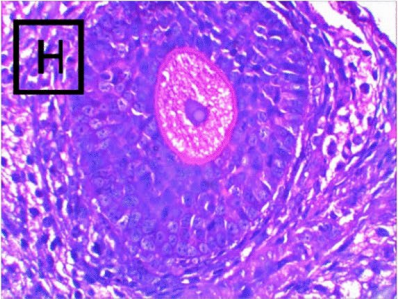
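This is an ovarian follicle seen at high power, with a central oocyte surrounded by granulosa cells and an outer theca. The oocyte is oval and pale with finely granular cytoplasm and a small dark nucleus near its centre, and it is enclosed by a thick, bright pink homogeneous ring. Around it lie several layers of closely packed granulosa cells with round to oval purple nuclei, arranged in a regular, orderly fashion. At the periphery, flattened cells with elongated nuclei form concentric layers that separate the follicle from the loose surrounding stroma.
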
